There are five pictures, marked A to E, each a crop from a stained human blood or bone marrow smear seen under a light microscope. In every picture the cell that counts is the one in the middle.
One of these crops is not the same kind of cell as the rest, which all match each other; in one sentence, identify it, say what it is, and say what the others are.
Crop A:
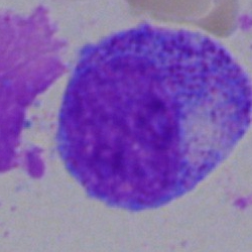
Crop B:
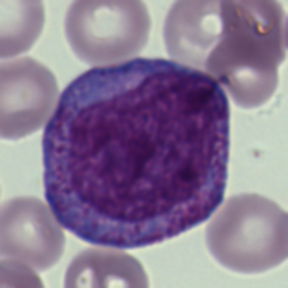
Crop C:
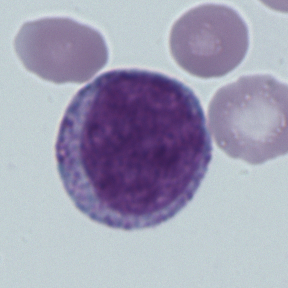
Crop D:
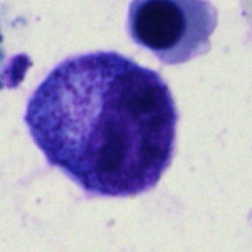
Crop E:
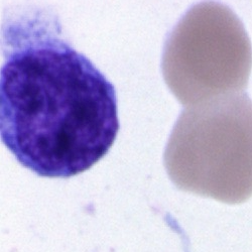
Where the others show promyelocytes, crop E shows a blast.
